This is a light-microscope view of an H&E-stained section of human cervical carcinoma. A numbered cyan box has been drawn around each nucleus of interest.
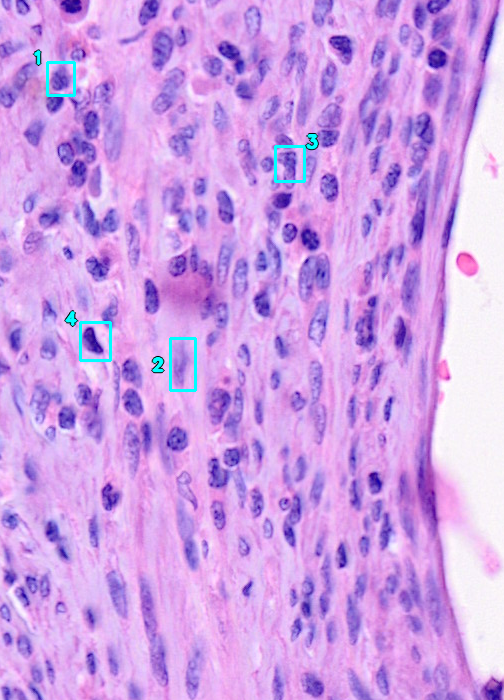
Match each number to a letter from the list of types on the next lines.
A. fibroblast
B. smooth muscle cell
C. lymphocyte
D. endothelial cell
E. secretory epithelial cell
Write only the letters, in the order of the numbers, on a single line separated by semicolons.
C; A; C; C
